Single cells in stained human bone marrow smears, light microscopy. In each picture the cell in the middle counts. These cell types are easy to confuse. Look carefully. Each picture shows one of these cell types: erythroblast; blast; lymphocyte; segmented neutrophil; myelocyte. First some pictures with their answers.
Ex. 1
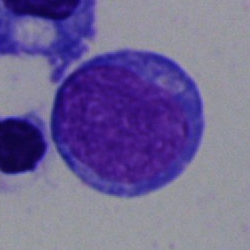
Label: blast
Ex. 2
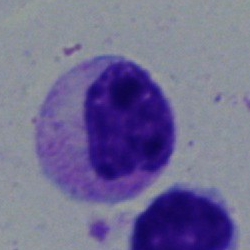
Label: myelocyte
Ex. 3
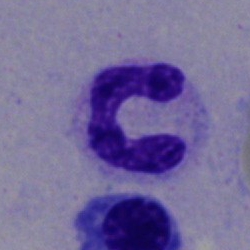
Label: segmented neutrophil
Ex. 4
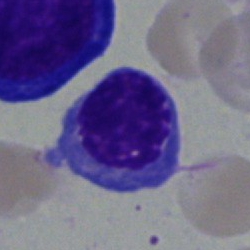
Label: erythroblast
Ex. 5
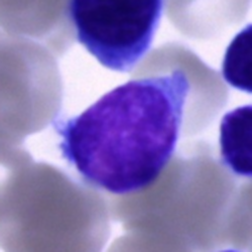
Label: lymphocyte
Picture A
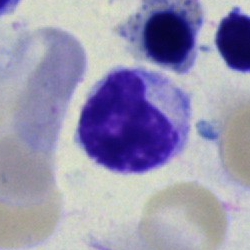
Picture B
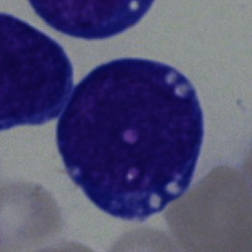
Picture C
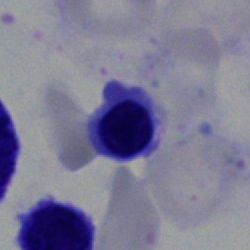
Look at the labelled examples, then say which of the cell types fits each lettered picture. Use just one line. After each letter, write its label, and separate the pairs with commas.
A lymphocyte, B blast, C erythroblast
